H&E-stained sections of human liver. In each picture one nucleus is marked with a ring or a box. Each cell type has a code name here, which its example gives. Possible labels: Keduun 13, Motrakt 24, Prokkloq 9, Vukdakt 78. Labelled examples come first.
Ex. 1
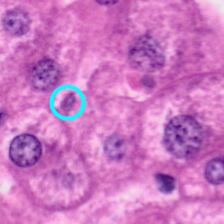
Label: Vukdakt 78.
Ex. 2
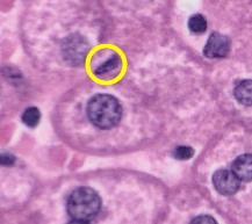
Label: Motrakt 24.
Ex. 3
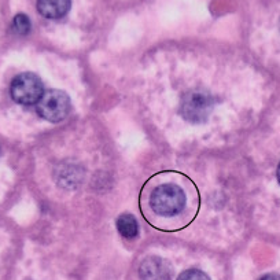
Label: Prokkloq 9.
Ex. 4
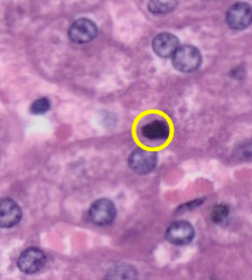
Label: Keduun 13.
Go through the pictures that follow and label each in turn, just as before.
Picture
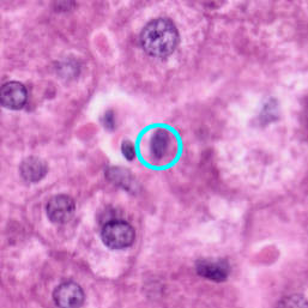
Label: Keduun 13.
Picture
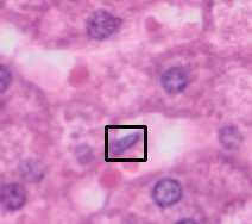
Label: Vukdakt 78.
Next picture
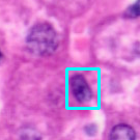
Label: Keduun 13.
